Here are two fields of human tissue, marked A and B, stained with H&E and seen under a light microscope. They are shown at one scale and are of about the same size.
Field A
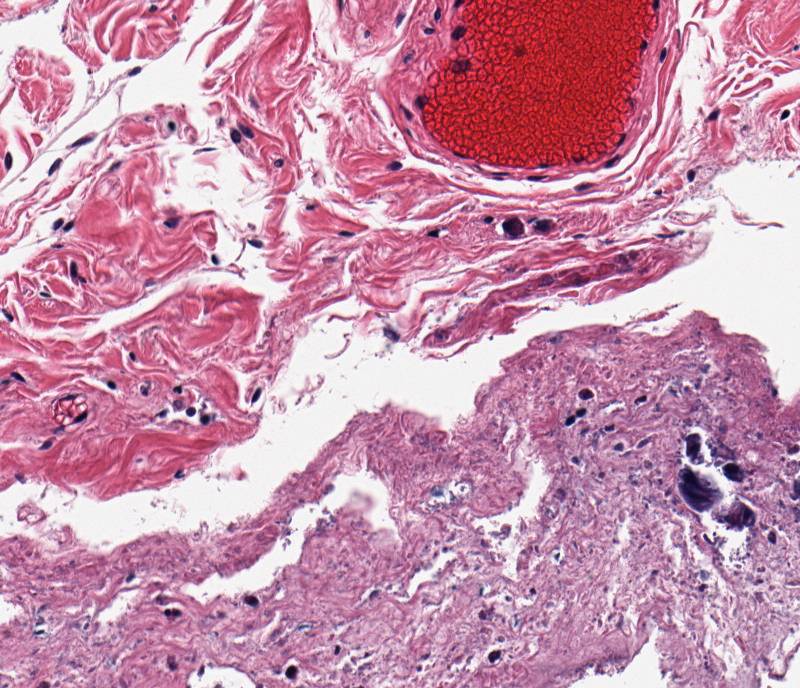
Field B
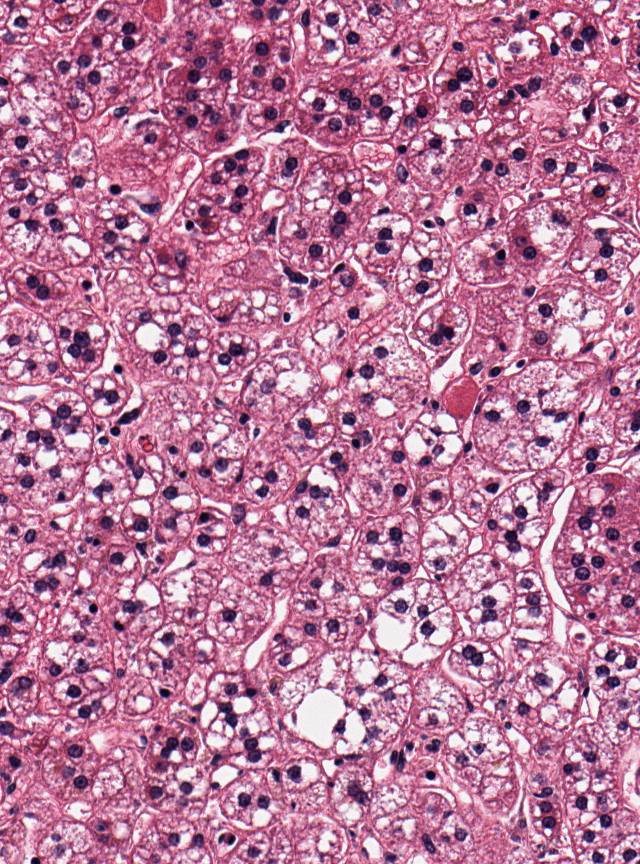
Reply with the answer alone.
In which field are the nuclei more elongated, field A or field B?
A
